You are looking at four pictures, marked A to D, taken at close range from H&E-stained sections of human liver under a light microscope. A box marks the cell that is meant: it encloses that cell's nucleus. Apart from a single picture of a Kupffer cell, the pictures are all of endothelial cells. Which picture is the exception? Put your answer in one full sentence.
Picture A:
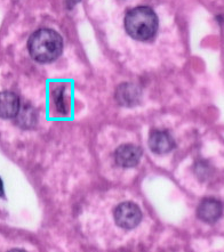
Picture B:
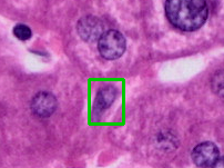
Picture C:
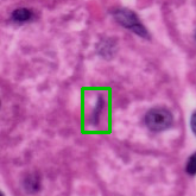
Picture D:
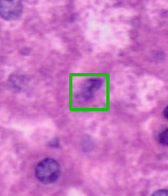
It is picture B that shows the Kupffer cell.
